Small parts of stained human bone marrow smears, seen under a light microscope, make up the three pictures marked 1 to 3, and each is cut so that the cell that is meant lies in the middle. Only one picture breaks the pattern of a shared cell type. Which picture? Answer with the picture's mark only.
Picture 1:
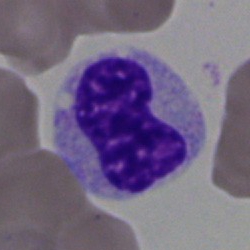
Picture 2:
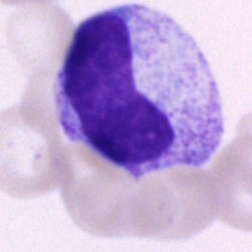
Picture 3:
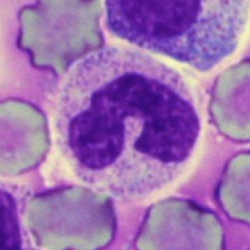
3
